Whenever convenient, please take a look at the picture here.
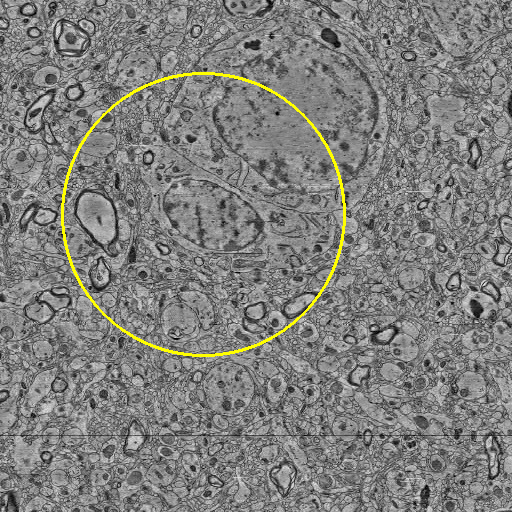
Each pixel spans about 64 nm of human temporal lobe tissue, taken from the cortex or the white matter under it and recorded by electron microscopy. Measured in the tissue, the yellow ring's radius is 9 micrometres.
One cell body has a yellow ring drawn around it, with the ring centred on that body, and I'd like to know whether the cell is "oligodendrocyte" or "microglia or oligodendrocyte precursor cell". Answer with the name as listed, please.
microglia or oligodendrocyte precursor cell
